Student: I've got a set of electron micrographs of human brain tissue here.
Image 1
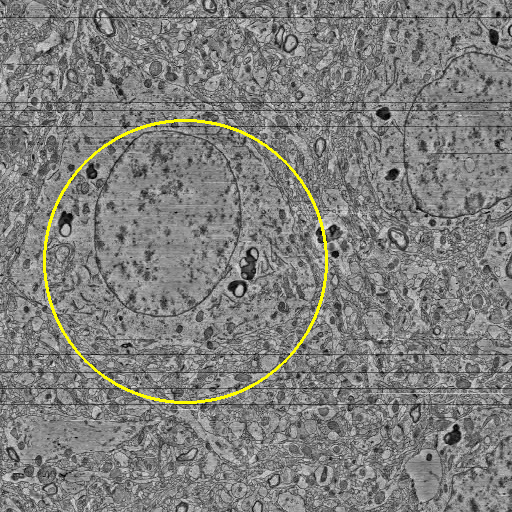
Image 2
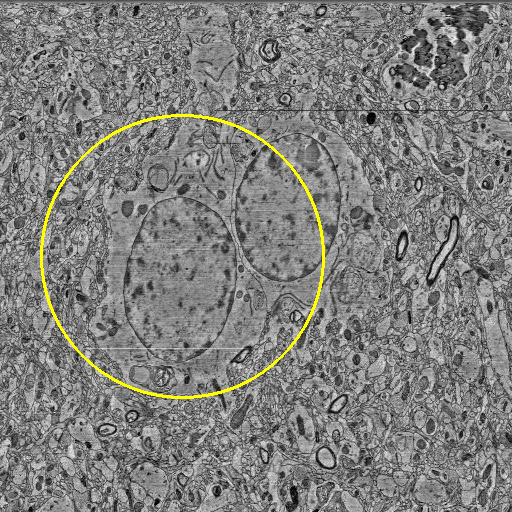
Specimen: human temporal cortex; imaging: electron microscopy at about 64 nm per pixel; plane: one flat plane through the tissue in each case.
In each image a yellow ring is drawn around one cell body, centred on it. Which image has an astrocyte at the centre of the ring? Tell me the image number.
2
